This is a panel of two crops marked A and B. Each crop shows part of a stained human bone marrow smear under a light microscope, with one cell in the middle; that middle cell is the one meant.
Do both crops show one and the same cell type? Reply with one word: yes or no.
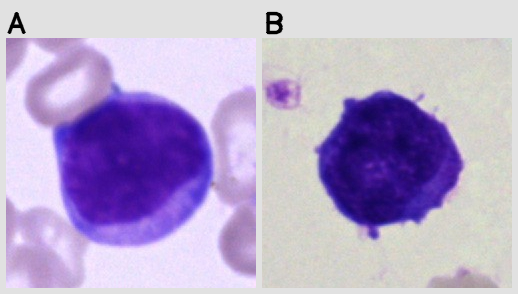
yes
